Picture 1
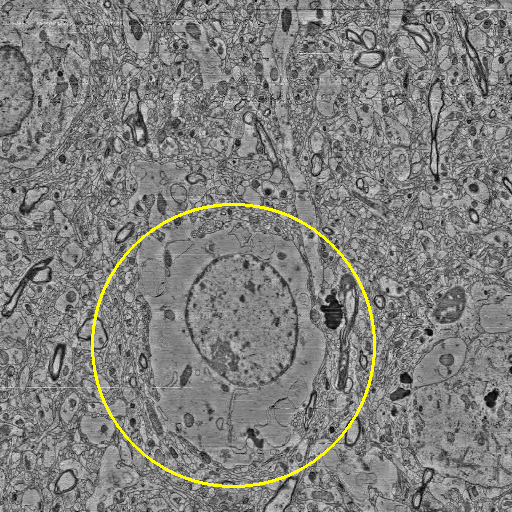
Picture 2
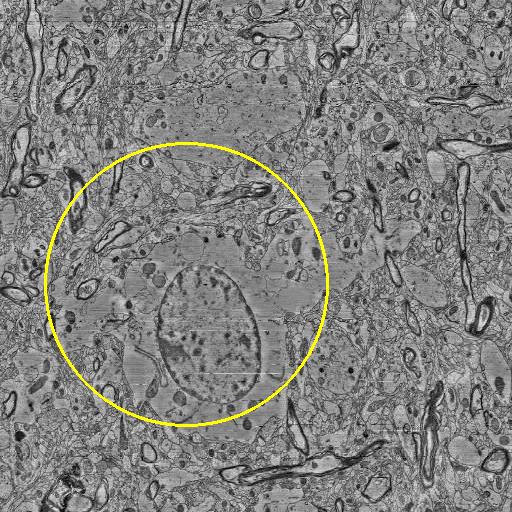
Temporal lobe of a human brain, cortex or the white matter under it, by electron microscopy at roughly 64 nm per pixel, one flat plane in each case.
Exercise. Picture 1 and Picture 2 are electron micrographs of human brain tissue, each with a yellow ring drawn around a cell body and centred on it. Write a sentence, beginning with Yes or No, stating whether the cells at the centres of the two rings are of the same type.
Yes, the cells at the centres of both rings are of the same type.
